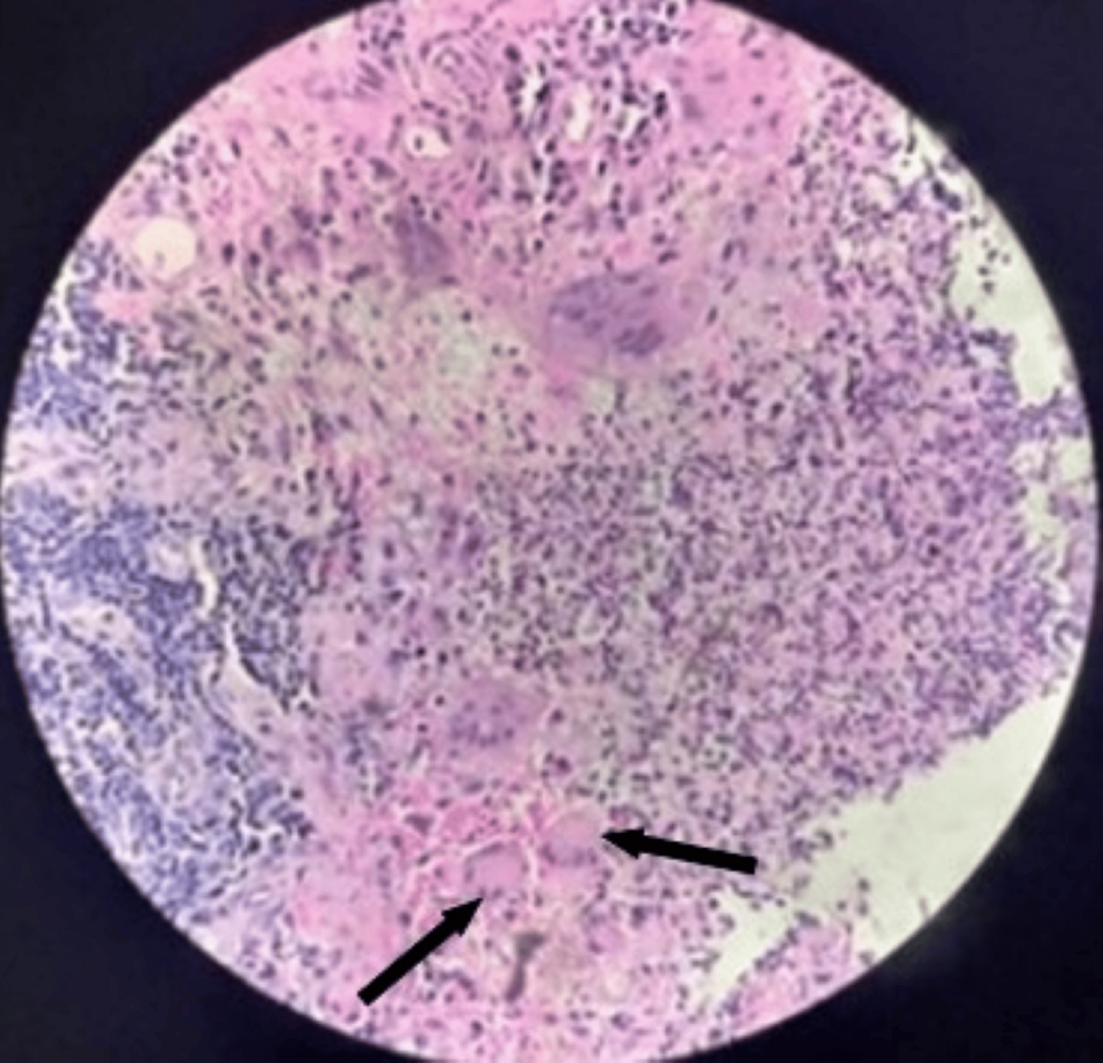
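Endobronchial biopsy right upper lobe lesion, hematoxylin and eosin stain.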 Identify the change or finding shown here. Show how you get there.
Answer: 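Pale pink aggregates of epithelioid-looking cells with large multinucleated cells. Dense sheets of small dark inflammatory cells surround these aggregates. So: granulomatous inflammation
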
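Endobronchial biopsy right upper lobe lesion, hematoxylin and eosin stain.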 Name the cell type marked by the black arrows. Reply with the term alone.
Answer: giant cells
